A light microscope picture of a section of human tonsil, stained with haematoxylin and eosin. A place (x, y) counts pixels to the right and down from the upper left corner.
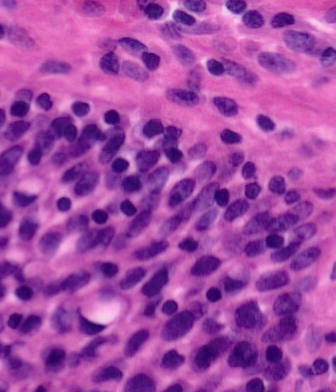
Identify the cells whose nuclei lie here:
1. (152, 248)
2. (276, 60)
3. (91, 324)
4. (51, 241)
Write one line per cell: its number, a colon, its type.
1: squamous epithelial cell
2: endothelial cell
3: squamous epithelial cell
4: squamous epithelial cell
